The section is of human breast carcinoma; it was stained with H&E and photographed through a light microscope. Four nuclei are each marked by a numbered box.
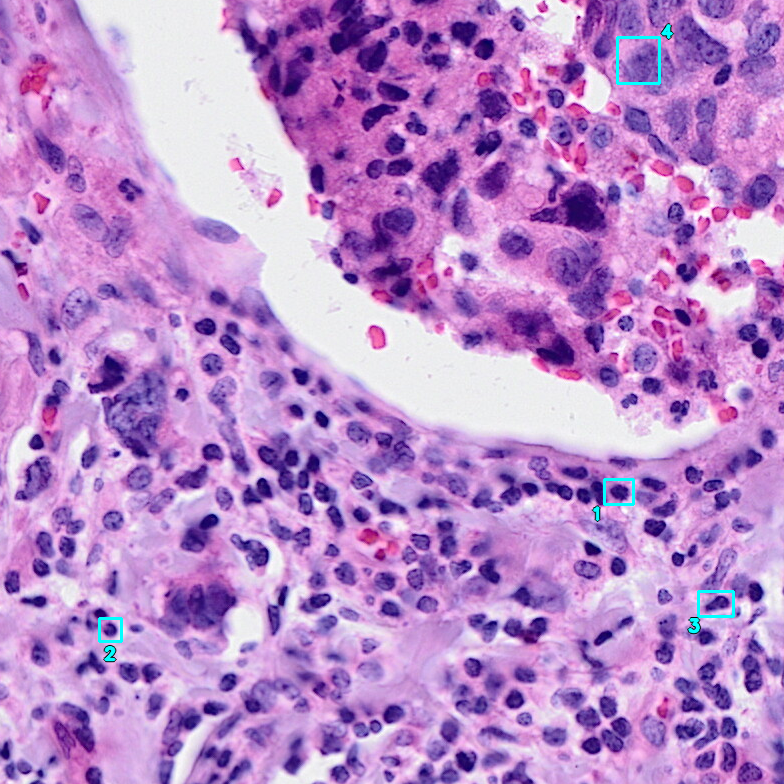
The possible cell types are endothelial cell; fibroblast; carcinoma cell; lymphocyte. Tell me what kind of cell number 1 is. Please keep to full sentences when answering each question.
The cell that goes by number 1 is a lymphocyte.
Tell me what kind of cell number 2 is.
In this section, number 2 marks a lymphocyte.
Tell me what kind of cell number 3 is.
The identity of cell 3 is that of a lymphocyte.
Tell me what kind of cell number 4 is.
In this section, the cell numbered 4 is a carcinoma cell.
